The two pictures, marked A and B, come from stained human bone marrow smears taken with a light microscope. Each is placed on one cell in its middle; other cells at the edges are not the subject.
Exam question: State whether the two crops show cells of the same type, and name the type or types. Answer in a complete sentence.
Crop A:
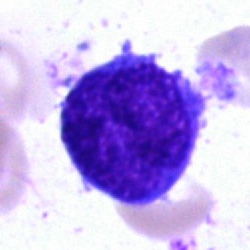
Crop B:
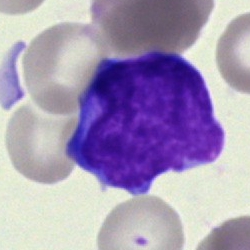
Yes, both crops depict blasts at the centre.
